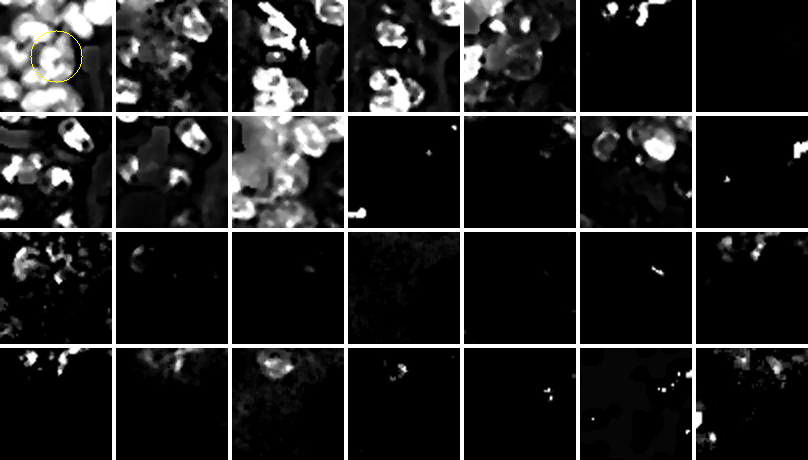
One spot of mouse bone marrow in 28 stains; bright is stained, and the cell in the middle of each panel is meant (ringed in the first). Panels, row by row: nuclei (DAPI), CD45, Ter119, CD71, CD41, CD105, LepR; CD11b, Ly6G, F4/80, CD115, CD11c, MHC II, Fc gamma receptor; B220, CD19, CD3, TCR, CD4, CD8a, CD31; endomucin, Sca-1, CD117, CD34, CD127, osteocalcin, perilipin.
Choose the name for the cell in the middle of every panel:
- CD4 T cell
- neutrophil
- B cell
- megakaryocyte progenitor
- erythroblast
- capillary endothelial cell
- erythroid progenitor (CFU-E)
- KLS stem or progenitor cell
erythroblast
